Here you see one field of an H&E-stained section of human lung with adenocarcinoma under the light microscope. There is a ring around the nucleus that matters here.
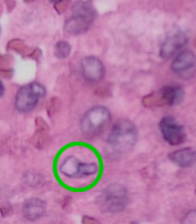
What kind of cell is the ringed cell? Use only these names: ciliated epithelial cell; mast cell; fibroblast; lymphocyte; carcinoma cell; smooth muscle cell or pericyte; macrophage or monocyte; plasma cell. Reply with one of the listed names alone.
macrophage or monocyte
